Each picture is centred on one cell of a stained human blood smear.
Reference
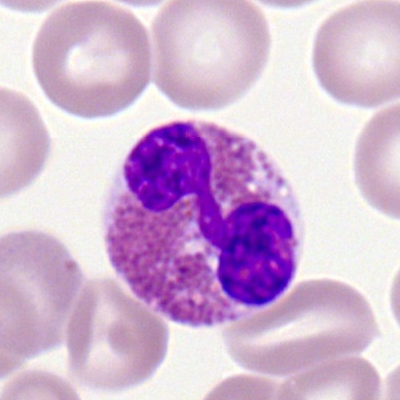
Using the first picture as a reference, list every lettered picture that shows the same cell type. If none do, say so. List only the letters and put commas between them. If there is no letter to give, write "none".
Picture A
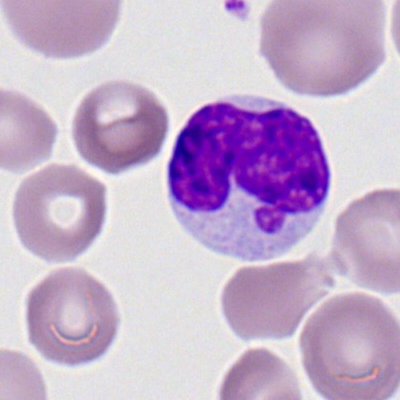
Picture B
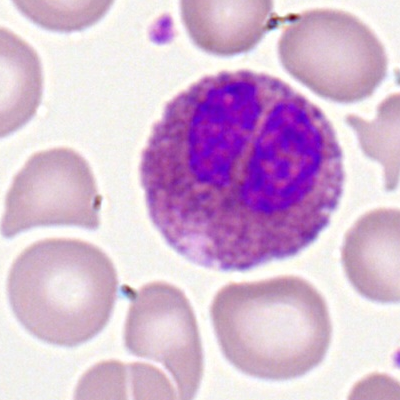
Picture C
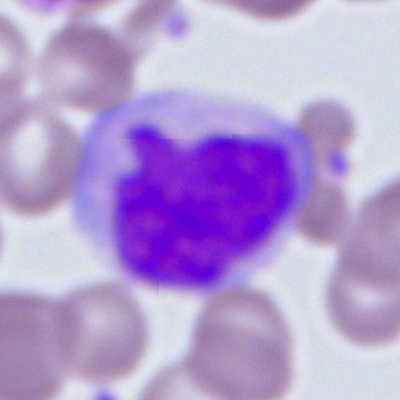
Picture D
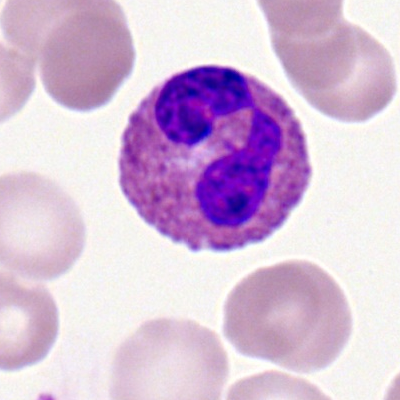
B, D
